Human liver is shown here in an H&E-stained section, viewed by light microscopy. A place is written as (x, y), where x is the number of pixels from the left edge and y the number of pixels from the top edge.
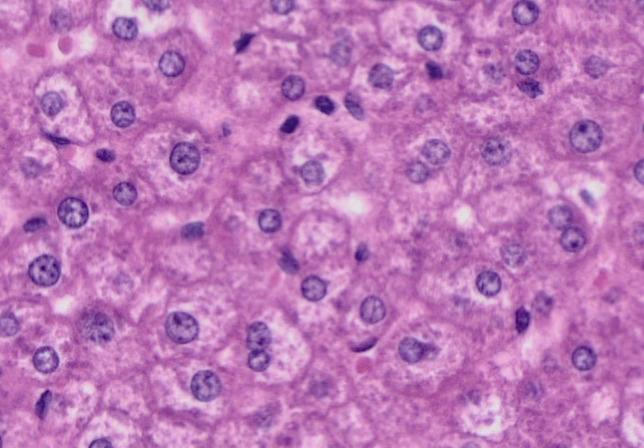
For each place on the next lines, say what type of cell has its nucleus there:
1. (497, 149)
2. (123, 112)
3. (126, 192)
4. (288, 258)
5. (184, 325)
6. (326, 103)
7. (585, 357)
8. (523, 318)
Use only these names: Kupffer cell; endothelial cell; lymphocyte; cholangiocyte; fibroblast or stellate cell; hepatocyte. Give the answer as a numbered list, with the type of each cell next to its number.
1. hepatocyte
2. hepatocyte
3. hepatocyte
4. endothelial cell
5. hepatocyte
6. lymphocyte
7. hepatocyte
8. fibroblast or stellate cell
